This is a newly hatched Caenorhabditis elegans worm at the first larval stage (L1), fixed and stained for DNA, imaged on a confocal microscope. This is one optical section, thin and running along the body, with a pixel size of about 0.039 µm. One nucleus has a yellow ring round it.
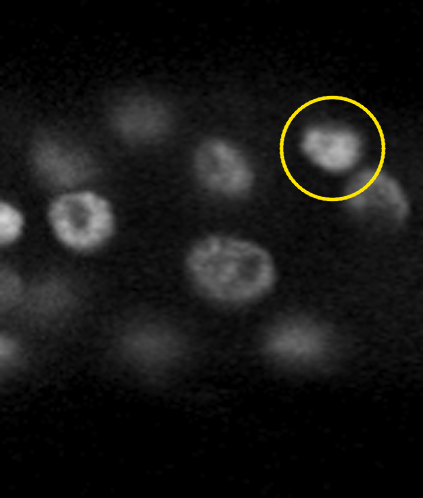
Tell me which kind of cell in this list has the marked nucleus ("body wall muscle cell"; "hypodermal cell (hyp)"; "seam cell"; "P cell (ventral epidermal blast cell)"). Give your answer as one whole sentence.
It belongs to a body wall muscle cell.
